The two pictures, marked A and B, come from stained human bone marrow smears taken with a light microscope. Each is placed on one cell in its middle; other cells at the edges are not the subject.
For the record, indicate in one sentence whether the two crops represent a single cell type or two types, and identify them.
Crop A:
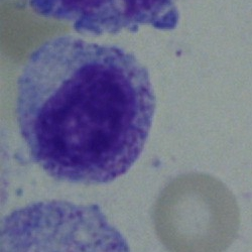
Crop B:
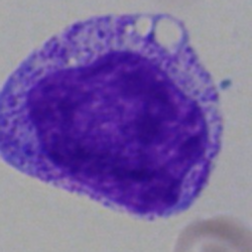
Yes, the central cells of both crops are myelocytes.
